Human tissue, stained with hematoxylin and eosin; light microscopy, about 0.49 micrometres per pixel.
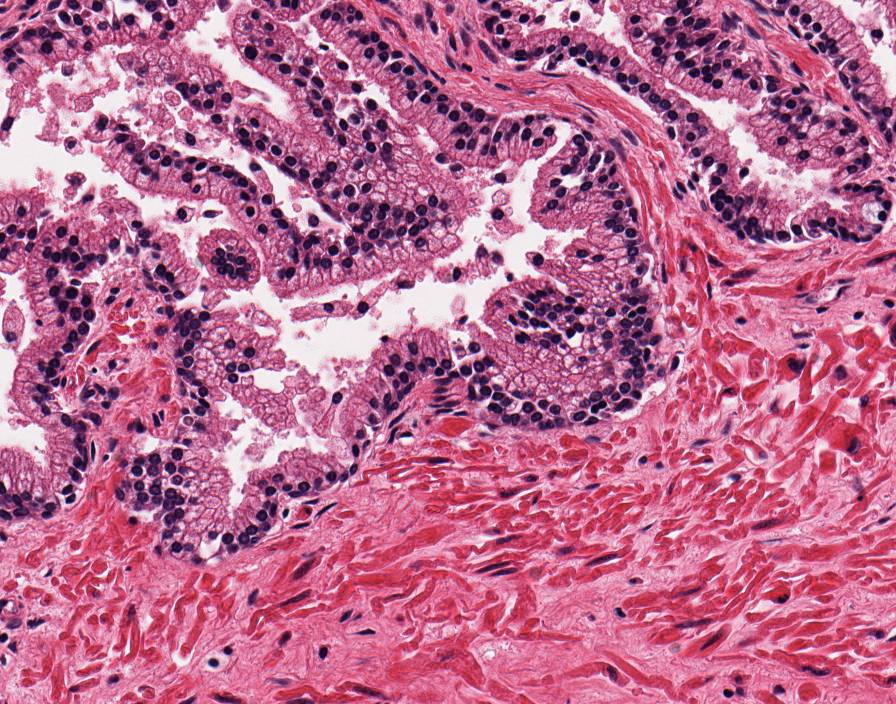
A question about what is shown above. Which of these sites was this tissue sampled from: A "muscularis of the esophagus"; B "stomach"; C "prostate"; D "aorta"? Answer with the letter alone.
C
